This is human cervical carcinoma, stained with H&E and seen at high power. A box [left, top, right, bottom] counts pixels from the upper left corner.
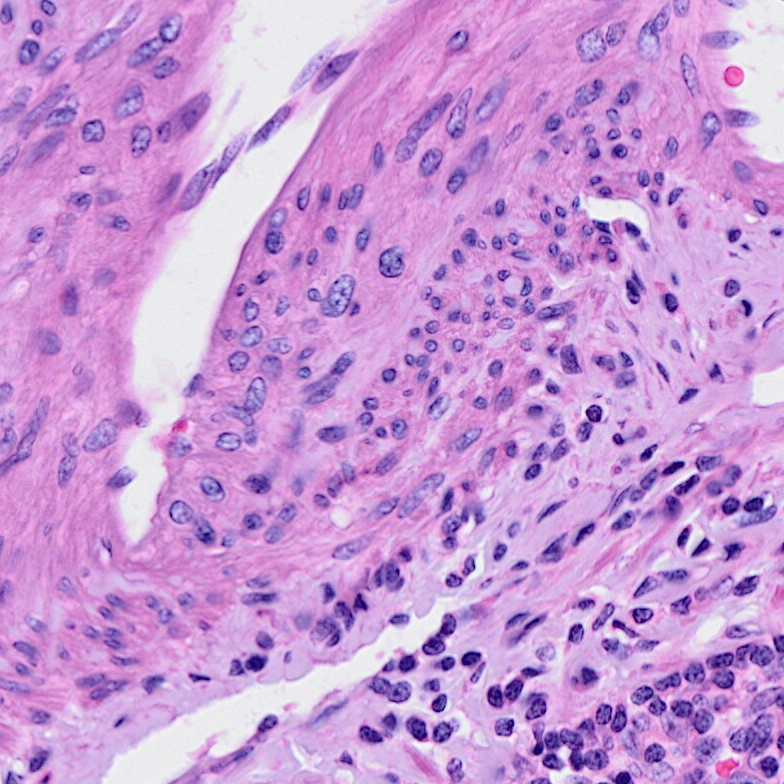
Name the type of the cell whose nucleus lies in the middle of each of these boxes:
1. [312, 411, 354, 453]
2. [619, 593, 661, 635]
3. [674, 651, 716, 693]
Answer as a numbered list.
1. smooth muscle cell
2. lymphocyte
3. lymphocyte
